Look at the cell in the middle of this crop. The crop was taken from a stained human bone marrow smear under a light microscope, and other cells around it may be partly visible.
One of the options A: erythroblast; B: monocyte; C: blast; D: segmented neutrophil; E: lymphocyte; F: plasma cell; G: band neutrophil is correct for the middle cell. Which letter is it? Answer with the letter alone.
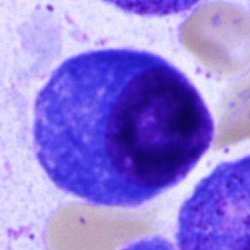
F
